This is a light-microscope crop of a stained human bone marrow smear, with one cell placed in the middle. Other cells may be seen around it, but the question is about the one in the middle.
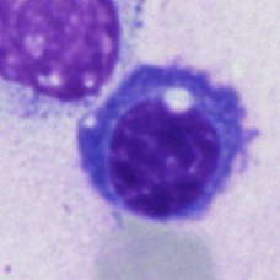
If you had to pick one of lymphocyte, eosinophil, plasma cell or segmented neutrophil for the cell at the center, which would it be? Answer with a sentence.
The central element of this crop is a cell, namely a plasma cell.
